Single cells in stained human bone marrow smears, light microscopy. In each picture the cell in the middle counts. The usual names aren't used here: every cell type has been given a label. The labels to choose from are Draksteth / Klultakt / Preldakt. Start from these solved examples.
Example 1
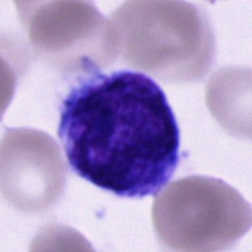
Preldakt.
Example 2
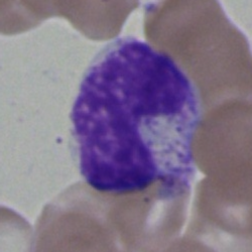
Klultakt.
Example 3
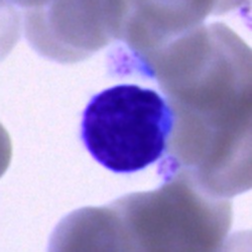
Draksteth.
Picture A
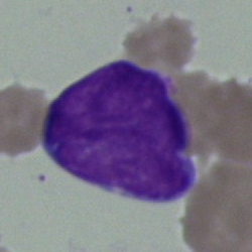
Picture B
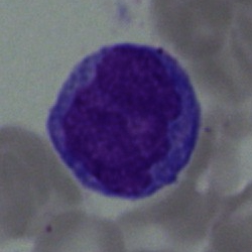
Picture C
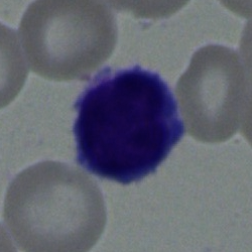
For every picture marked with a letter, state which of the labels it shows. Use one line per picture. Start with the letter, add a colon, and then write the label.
A: Preldakt.
B: Preldakt.
C: Draksteth.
